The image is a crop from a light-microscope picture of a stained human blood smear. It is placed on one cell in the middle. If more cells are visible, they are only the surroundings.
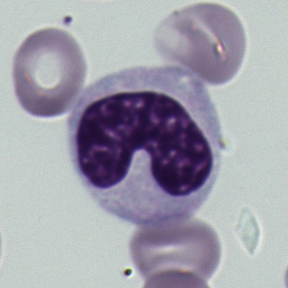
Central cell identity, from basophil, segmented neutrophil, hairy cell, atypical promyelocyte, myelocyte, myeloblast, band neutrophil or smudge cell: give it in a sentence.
The cell at the heart of this crop is a band neutrophil.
